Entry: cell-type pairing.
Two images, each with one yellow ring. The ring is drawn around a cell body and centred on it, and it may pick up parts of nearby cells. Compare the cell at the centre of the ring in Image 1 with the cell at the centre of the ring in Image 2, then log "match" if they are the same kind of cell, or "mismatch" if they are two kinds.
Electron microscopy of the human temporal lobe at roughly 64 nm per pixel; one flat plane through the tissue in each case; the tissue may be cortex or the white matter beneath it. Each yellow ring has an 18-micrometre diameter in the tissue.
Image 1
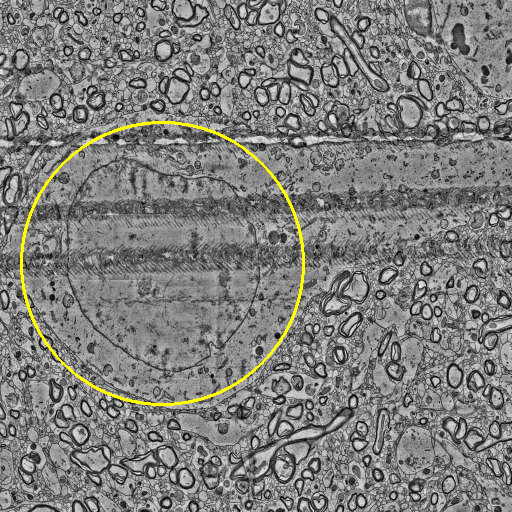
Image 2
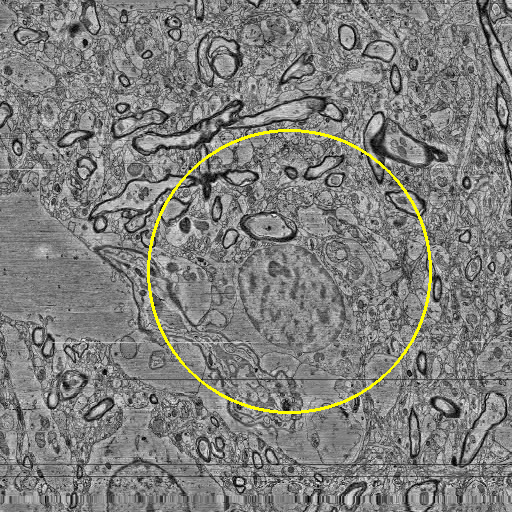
mismatch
